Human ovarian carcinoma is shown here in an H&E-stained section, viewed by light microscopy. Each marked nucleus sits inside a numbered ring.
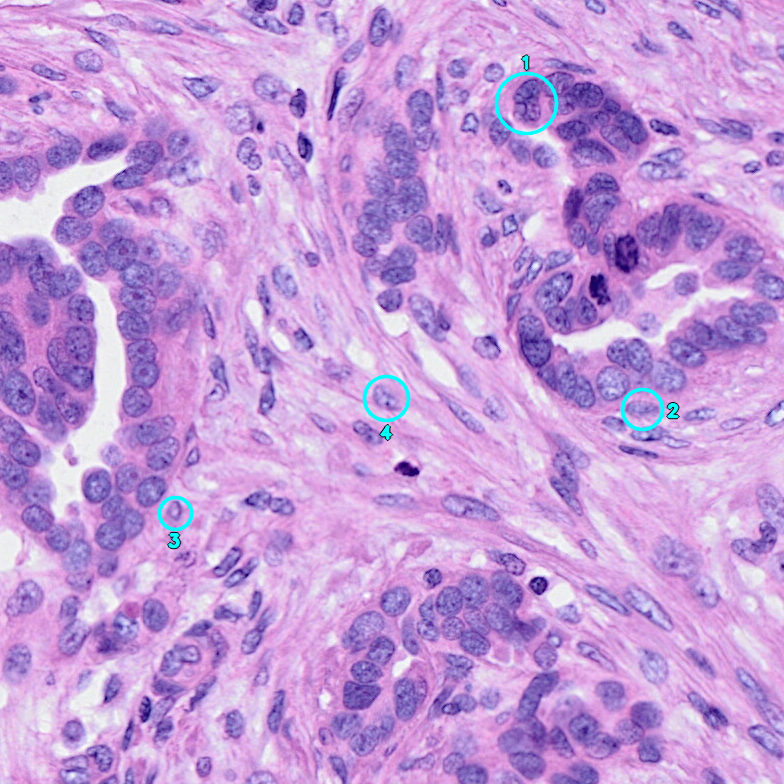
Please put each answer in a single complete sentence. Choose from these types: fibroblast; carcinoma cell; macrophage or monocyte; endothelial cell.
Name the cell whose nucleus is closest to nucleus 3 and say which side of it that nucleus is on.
The closest nucleus belongs to a carcinoma cell and sits above and to the left of nucleus 3.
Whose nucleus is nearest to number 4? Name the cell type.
Closest to number 4 lies the nucleus of a macrophage or monocyte.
